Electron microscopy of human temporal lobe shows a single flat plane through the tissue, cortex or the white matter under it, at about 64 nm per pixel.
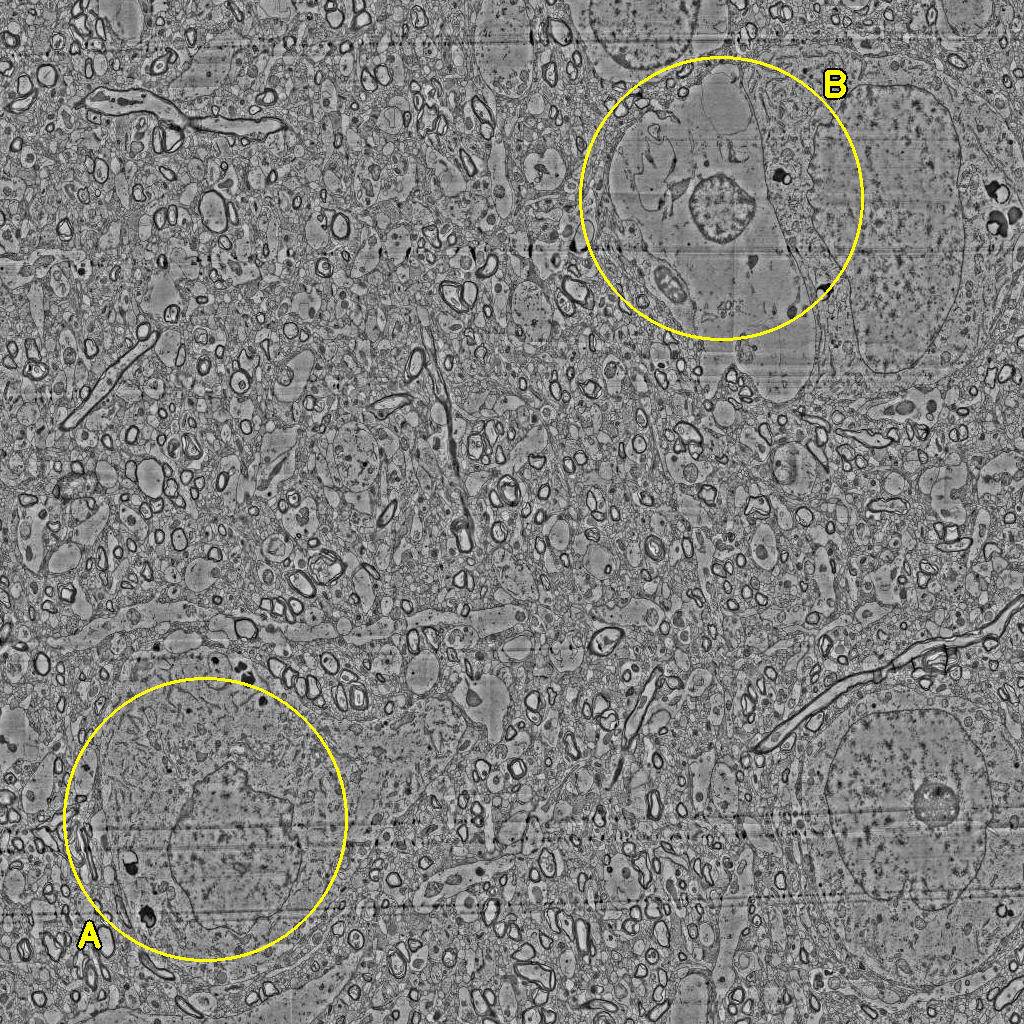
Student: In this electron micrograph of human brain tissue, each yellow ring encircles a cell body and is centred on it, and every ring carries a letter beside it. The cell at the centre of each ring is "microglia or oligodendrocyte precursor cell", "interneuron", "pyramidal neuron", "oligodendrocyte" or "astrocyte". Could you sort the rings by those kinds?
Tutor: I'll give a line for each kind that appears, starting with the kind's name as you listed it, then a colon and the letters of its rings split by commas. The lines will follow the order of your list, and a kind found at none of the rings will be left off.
pyramidal neuron: A
astrocyte: B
